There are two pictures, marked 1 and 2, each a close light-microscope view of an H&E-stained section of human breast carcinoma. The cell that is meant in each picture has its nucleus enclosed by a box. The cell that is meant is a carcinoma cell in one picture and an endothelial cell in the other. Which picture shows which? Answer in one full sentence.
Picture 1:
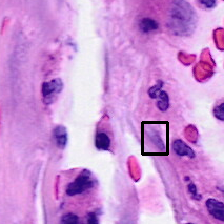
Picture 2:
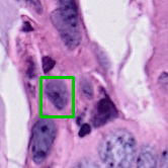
Picture 1 shows an endothelial cell and picture 2 shows a carcinoma cell.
